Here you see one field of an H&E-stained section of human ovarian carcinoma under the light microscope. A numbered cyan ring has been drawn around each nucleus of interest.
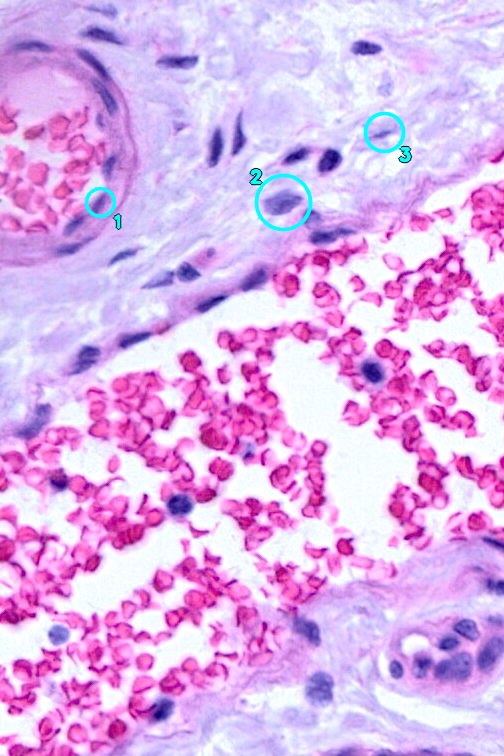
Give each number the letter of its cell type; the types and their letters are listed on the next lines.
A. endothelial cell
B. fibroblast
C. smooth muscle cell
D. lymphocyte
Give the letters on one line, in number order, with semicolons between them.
A; B; B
